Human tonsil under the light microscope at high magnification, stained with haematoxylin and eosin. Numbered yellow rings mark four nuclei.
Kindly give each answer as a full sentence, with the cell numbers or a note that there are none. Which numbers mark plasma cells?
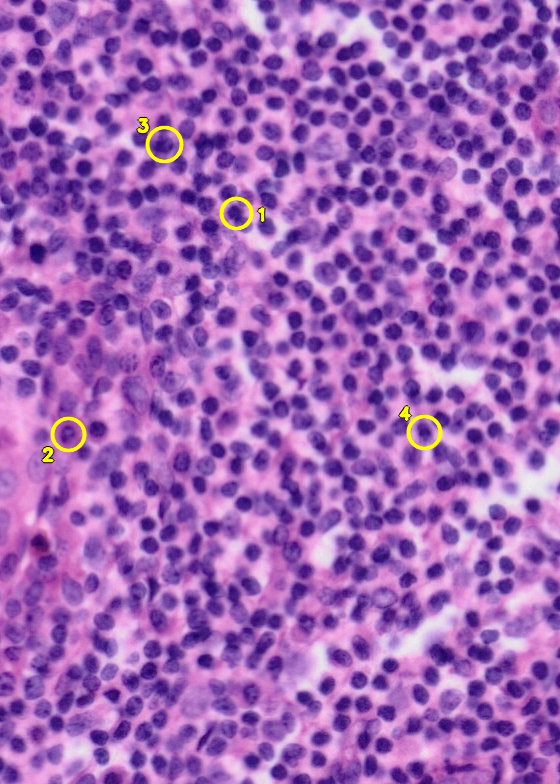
Only the cell numbered 2 is a plasma cell; none of the others is.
